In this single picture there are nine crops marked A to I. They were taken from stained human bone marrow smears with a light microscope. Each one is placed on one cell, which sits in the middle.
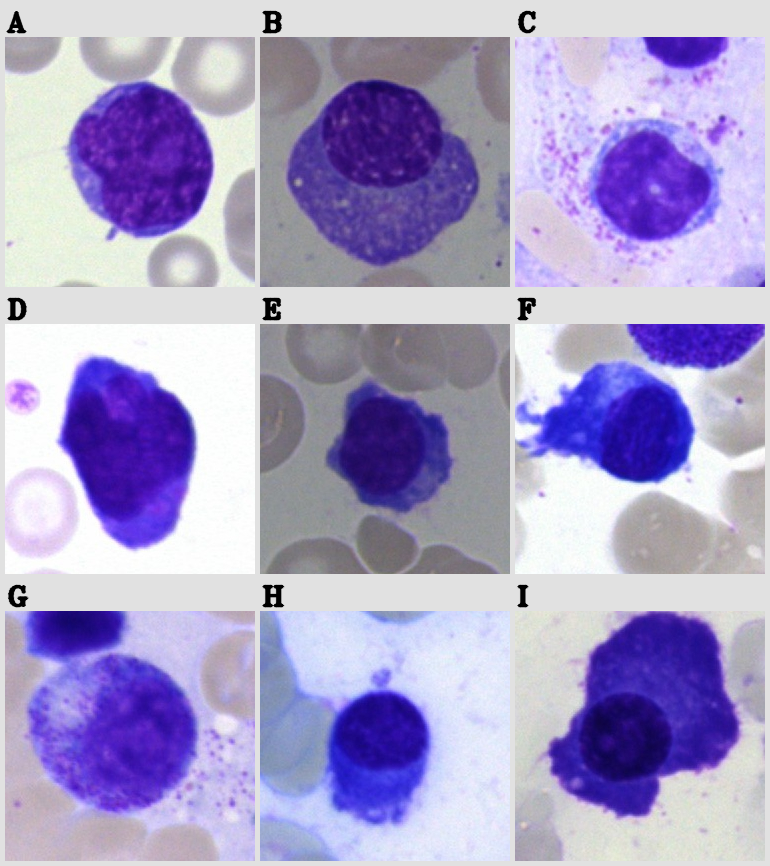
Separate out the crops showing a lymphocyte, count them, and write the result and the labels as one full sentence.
The only crop with a lymphocyte in the middle is crop C.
